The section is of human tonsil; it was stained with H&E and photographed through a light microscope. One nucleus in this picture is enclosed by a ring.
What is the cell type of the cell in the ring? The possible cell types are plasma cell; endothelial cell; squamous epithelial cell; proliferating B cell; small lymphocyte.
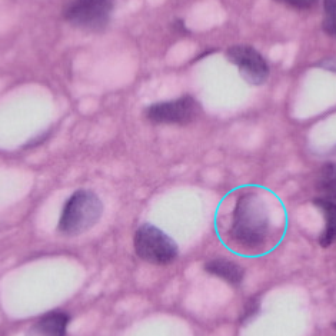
squamous epithelial cell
